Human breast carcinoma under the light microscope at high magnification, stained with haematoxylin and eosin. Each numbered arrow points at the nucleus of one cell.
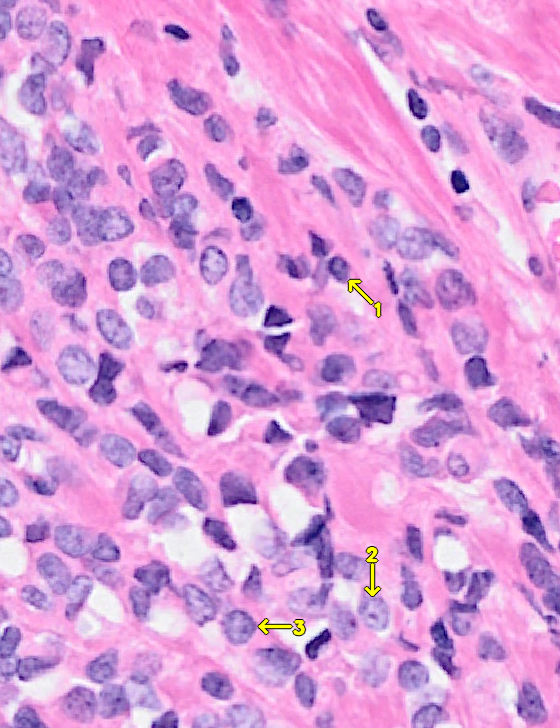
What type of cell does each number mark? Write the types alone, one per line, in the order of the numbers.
lymphocyte
carcinoma cell
carcinoma cell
